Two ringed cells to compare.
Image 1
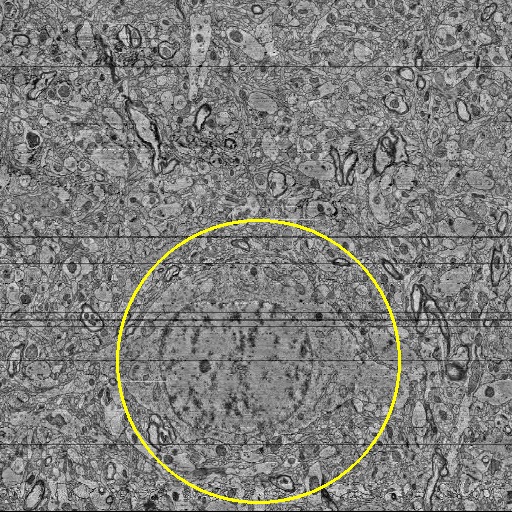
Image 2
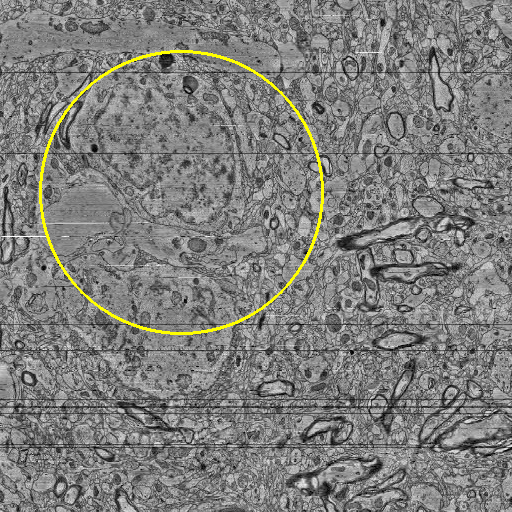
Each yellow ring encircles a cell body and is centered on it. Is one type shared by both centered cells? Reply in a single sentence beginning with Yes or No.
Yes, a single type is shared by the two cells at the centers of the rings.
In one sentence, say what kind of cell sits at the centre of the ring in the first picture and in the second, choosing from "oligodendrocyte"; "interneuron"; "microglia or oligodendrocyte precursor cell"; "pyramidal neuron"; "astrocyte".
The second cell is an interneuron, just as the first is.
